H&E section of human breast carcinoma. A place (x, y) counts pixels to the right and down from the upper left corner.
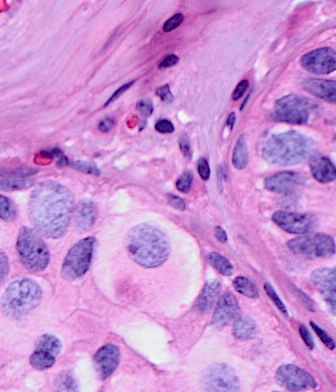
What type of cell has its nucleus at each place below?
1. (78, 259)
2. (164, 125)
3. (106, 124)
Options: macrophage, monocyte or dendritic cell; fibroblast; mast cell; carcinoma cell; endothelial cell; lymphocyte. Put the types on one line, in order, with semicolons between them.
carcinoma cell; lymphocyte; mast cell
